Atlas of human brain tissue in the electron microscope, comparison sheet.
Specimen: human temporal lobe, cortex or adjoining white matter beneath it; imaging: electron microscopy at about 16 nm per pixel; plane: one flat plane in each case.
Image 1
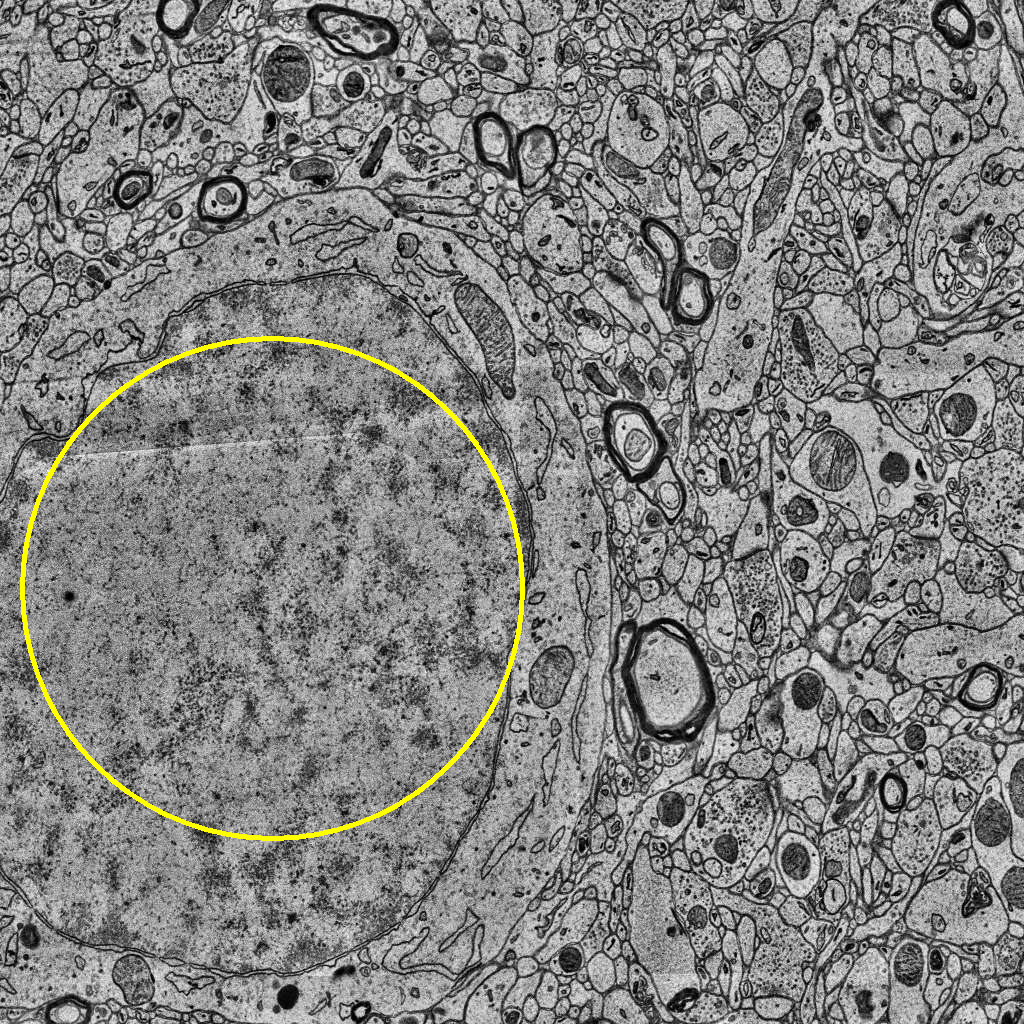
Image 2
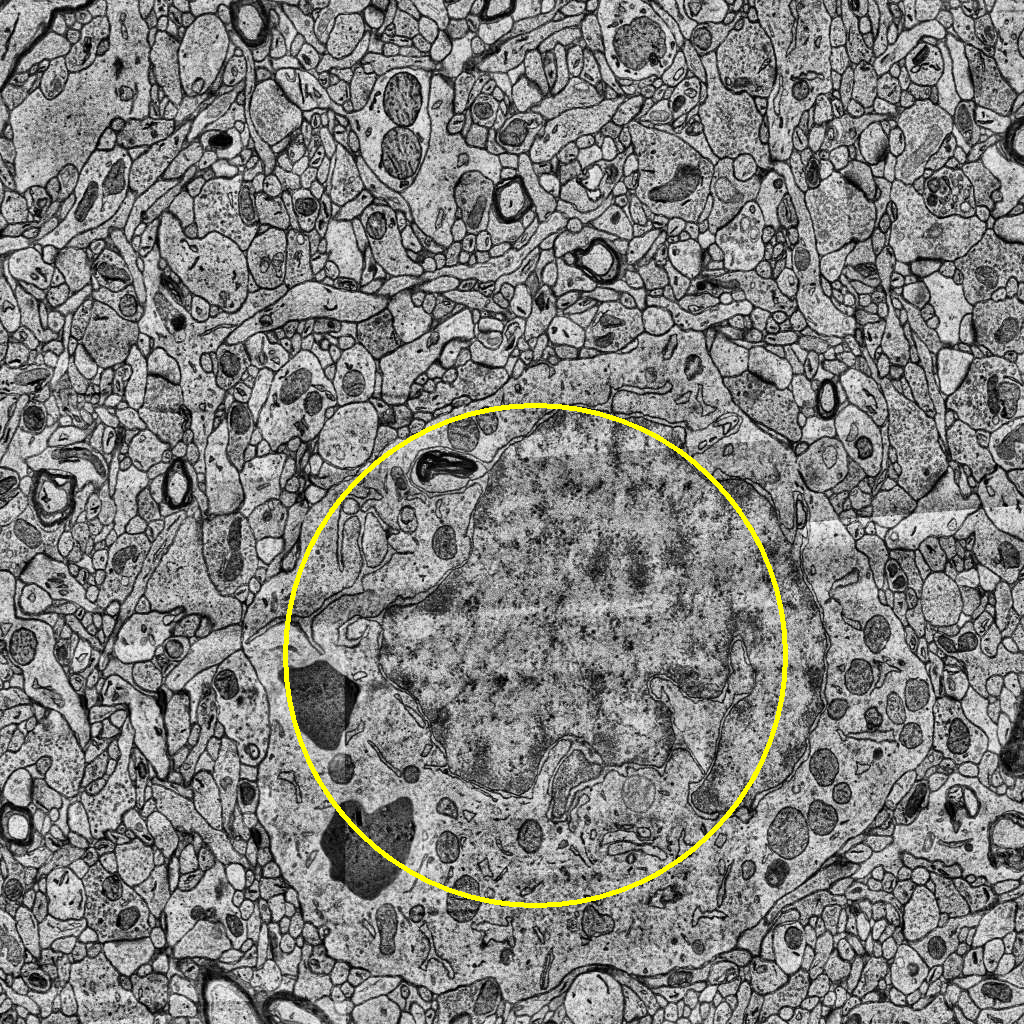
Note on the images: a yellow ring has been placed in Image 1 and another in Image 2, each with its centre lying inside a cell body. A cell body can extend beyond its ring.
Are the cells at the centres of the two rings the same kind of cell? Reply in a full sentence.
Yes, both cells are of the same kind.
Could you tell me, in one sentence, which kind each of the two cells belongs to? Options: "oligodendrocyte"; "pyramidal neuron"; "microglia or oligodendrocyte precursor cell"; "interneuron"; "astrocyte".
Each cell, in the first picture and the second, is an interneuron.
